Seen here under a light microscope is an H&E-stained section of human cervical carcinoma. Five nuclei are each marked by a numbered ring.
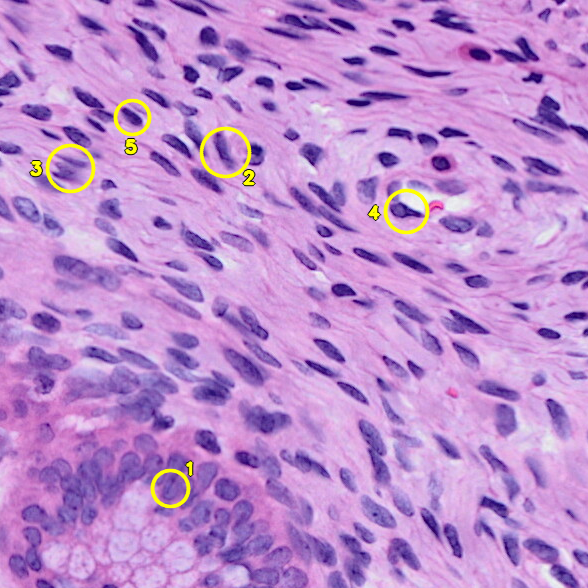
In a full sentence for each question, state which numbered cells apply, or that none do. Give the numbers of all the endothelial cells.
Cell 4, and no other numbered cell, is an endothelial cell.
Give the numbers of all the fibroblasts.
In this section, the cells numbered 2, 3 and 5 are fibroblasts.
